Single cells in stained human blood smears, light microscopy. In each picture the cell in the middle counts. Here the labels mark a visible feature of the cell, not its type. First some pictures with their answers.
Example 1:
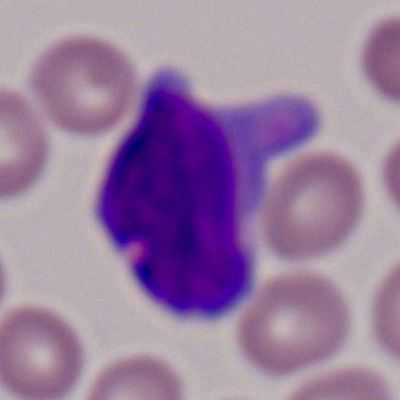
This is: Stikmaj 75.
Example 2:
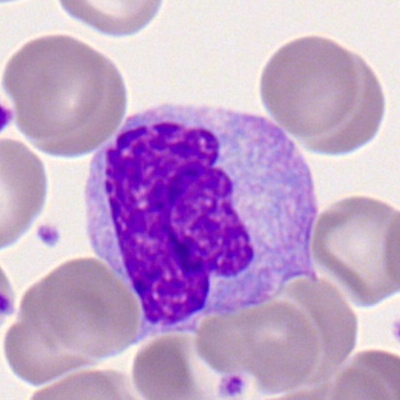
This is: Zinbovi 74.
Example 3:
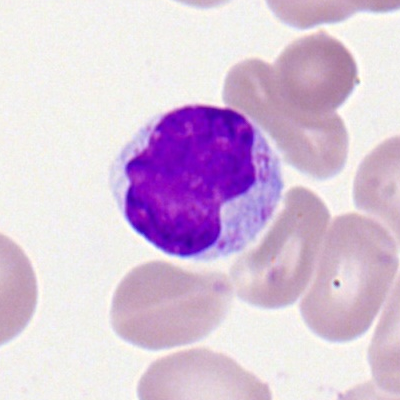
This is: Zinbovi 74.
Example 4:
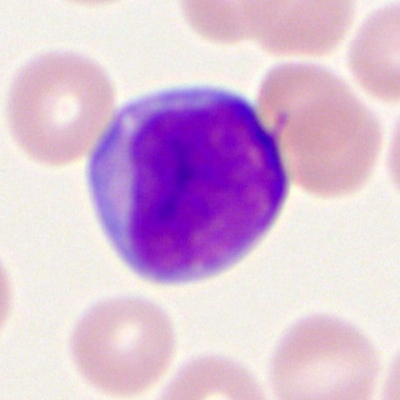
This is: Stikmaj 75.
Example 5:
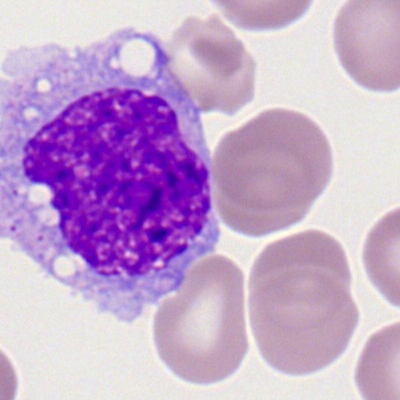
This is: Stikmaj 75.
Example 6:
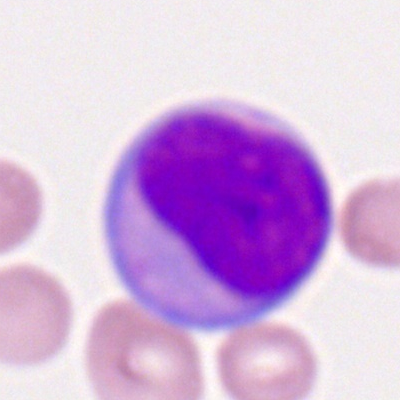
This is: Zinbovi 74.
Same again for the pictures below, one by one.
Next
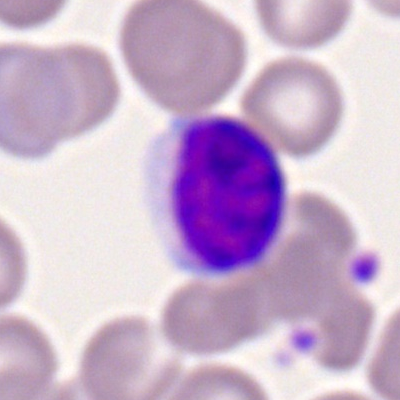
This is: Zinbovi 74.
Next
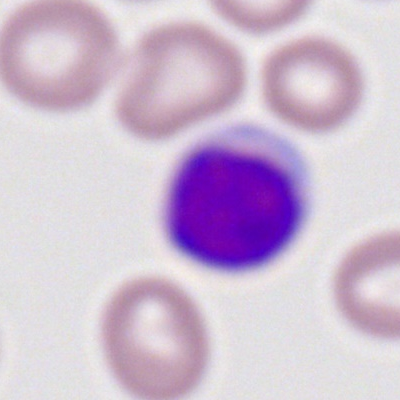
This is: Zinbovi 74.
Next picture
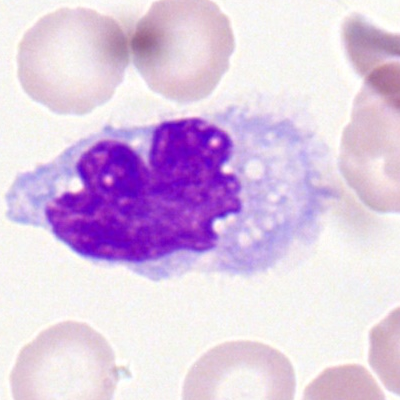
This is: Stikmaj 75.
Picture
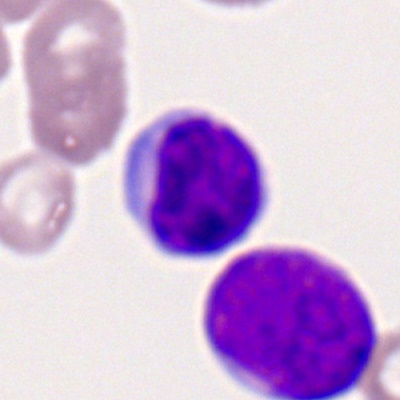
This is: Zinbovi 74.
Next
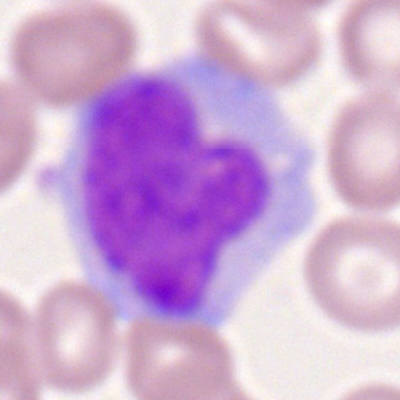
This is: Stikmaj 75.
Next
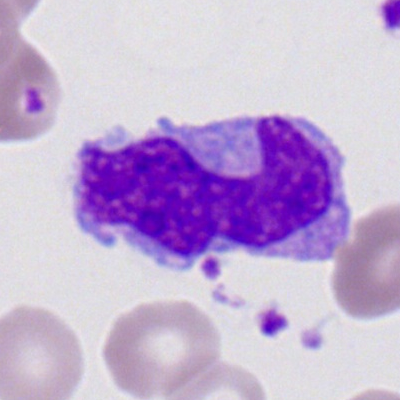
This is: Stikmaj 75.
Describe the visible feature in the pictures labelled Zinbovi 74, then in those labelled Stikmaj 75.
Zinbovi 74: smooth outline; Stikmaj 75: ragged outline or projections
